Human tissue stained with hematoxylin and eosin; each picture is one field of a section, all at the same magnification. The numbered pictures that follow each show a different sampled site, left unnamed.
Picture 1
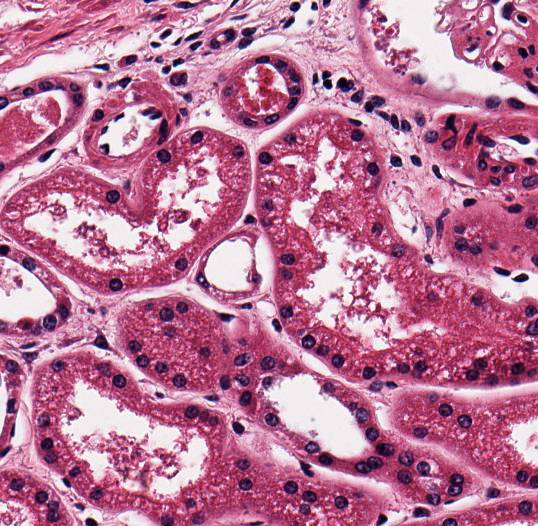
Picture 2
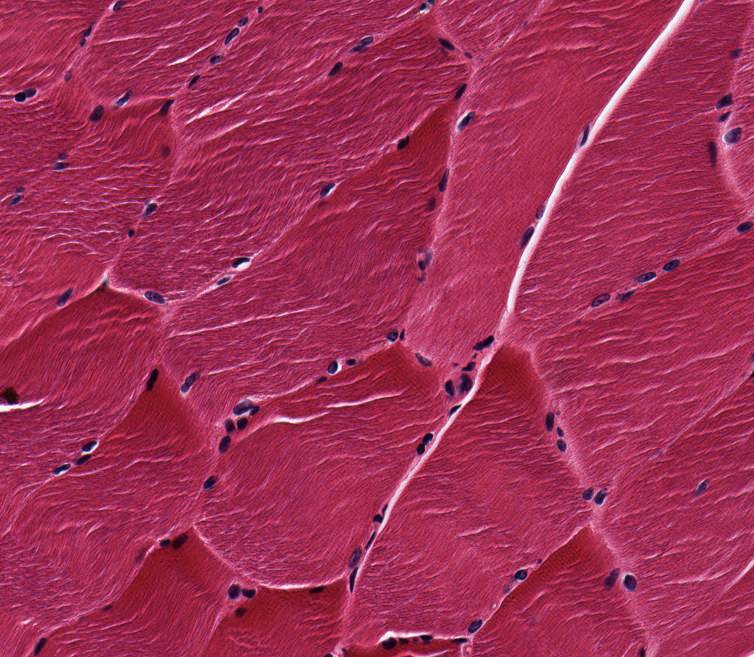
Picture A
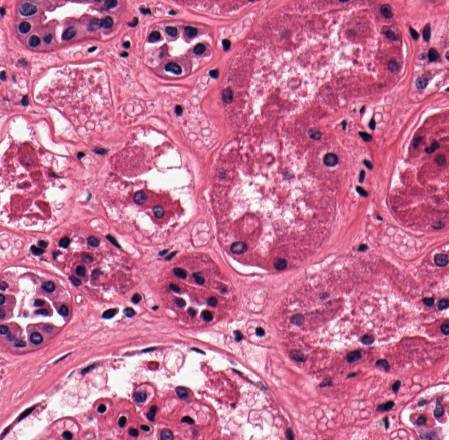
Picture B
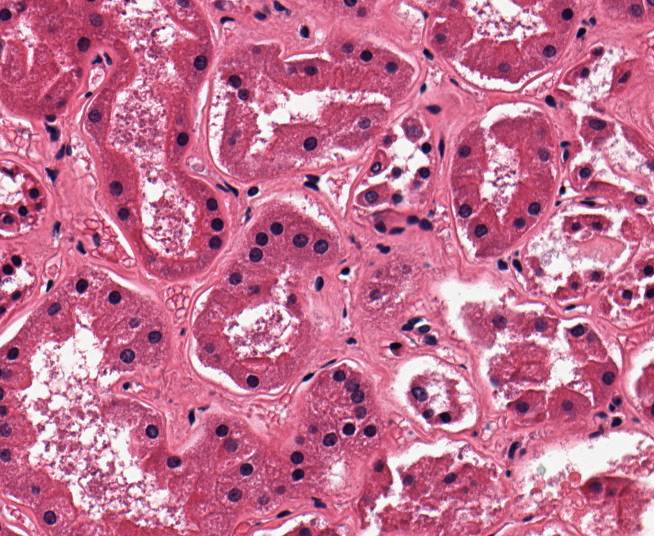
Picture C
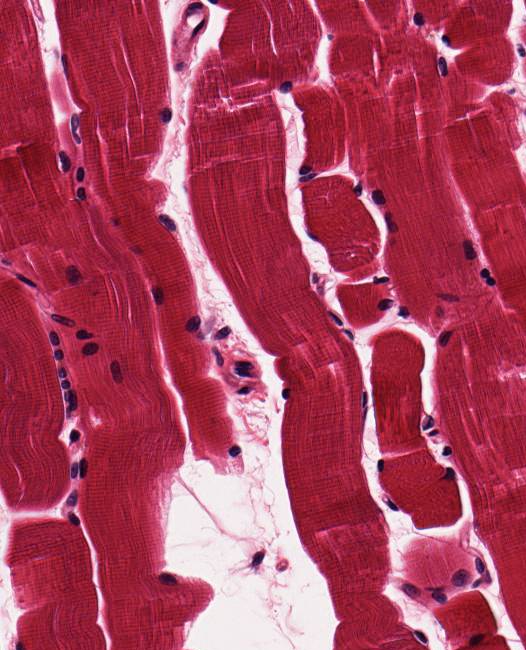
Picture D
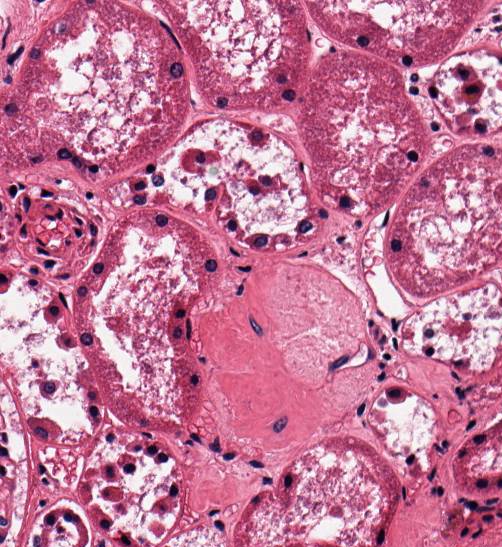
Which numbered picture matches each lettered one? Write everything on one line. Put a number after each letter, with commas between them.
A 1, B 1, C 2, D 1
